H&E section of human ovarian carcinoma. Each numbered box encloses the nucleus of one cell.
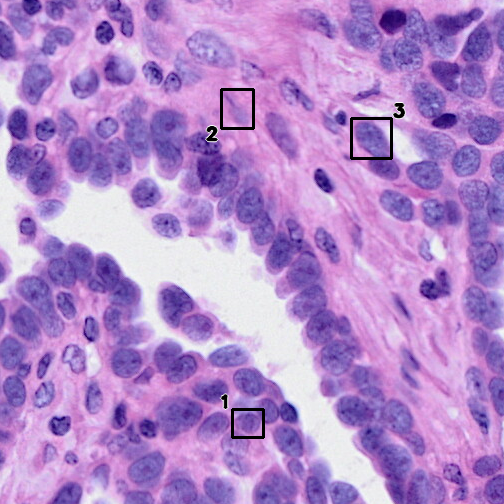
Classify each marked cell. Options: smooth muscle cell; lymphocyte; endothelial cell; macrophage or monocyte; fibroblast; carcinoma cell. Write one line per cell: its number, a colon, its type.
1: carcinoma cell
2: fibroblast
3: carcinoma cell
